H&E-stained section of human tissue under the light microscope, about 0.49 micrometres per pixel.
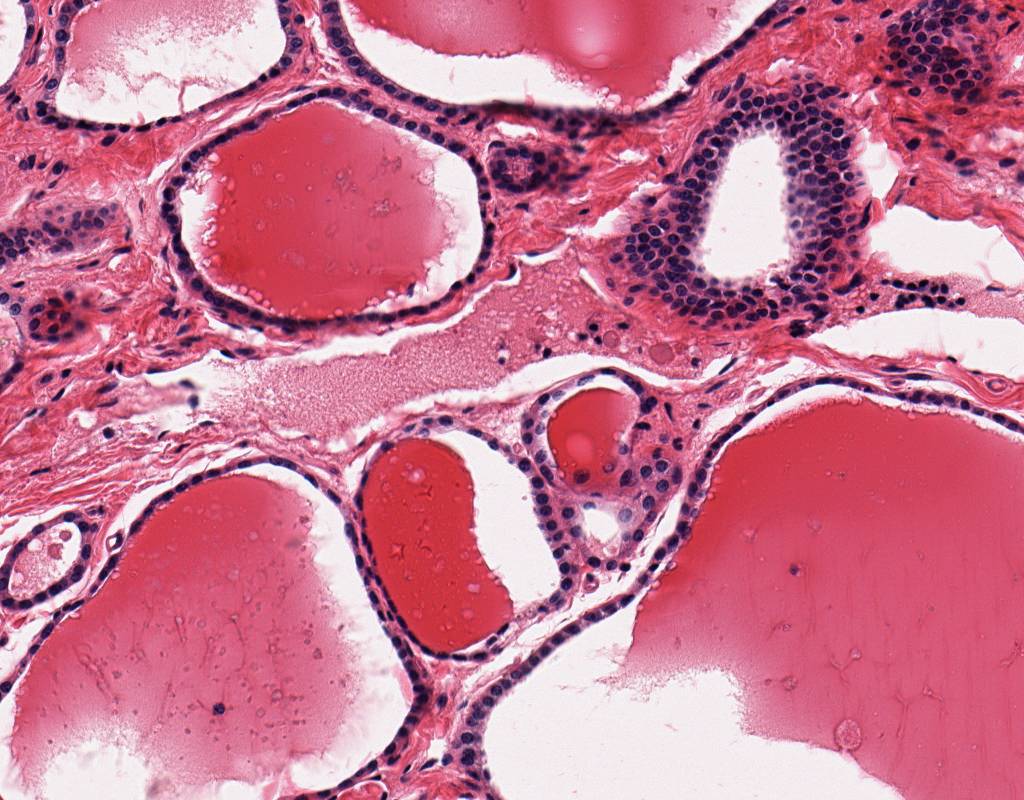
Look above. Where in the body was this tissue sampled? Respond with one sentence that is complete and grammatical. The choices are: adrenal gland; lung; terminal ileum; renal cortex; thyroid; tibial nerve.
The tissue on this slide is from the thyroid.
